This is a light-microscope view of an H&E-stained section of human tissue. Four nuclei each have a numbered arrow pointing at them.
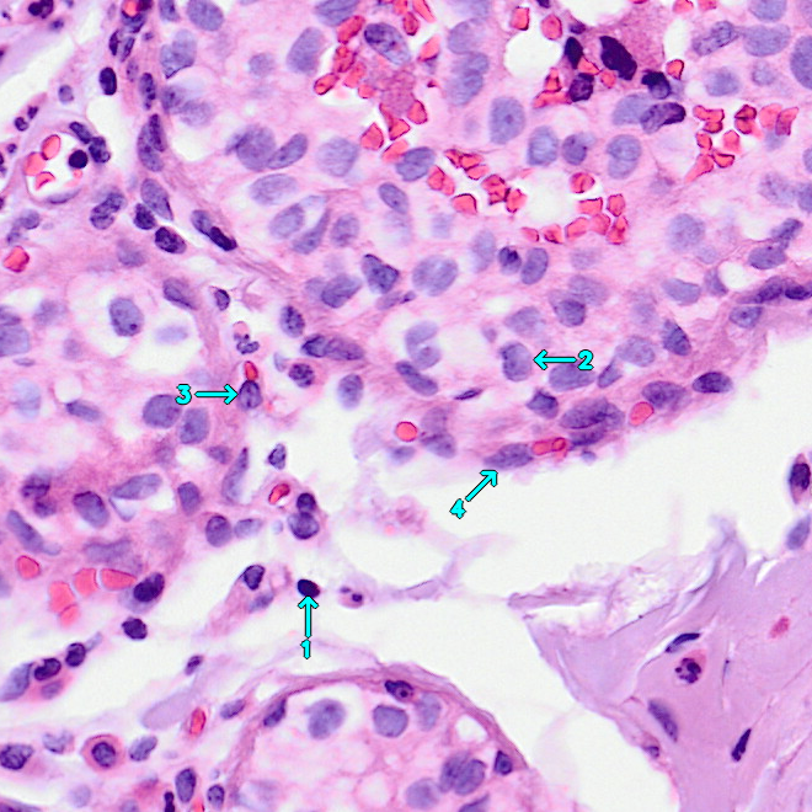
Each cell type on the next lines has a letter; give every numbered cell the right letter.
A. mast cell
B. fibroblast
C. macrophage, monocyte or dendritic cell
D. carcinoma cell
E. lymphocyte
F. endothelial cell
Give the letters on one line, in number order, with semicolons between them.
E; D; F; F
